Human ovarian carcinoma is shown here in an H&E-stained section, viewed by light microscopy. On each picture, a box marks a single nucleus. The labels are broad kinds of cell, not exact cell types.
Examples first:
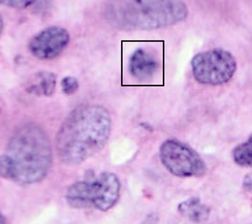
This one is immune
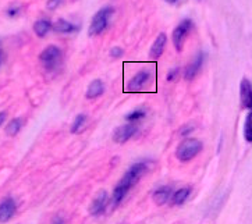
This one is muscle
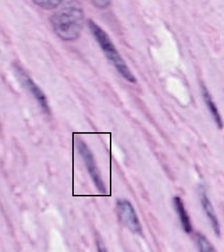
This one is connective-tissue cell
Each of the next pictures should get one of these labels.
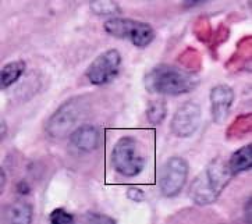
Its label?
immune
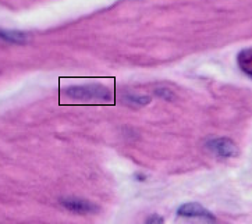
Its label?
muscle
